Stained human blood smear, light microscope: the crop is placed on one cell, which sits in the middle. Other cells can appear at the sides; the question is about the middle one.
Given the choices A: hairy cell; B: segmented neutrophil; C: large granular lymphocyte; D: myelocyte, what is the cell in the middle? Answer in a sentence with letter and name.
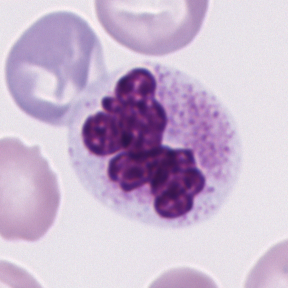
Option B is correct in that the central cell is a segmented neutrophil.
